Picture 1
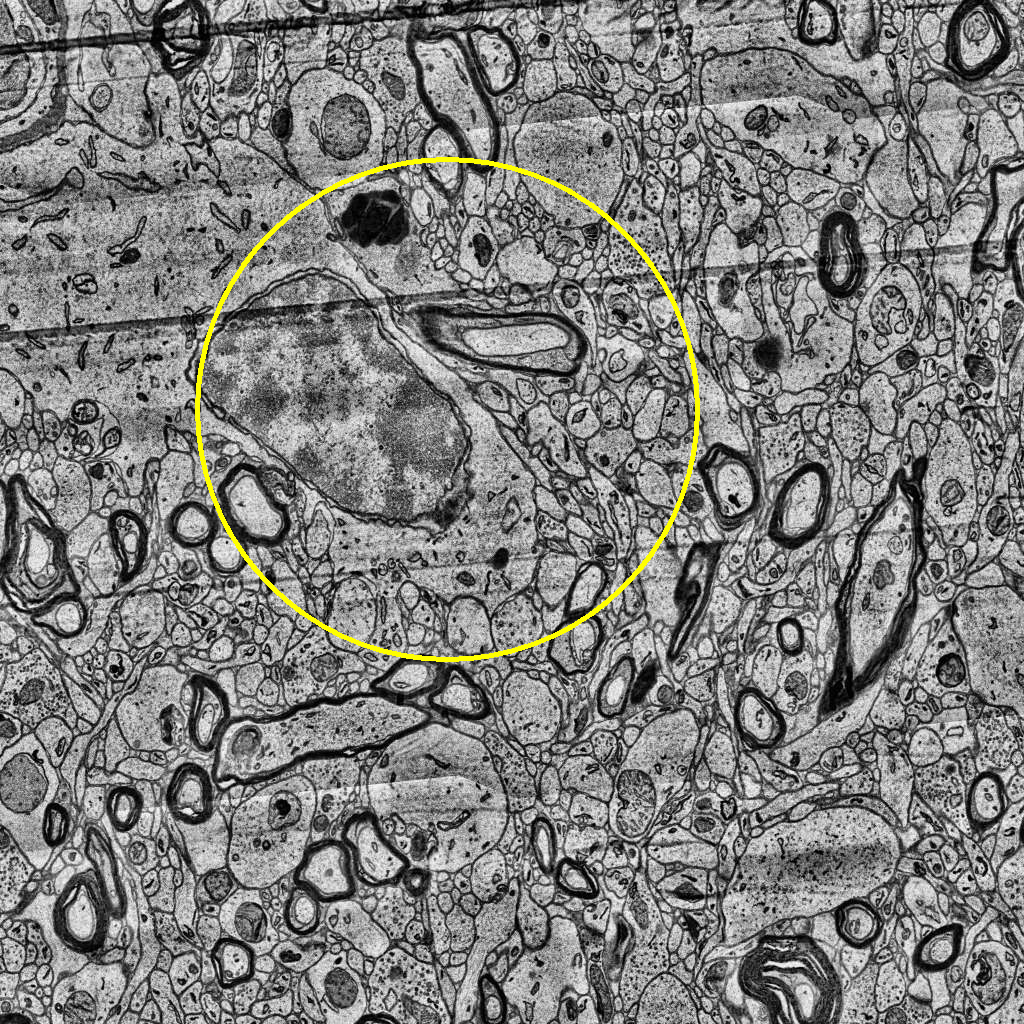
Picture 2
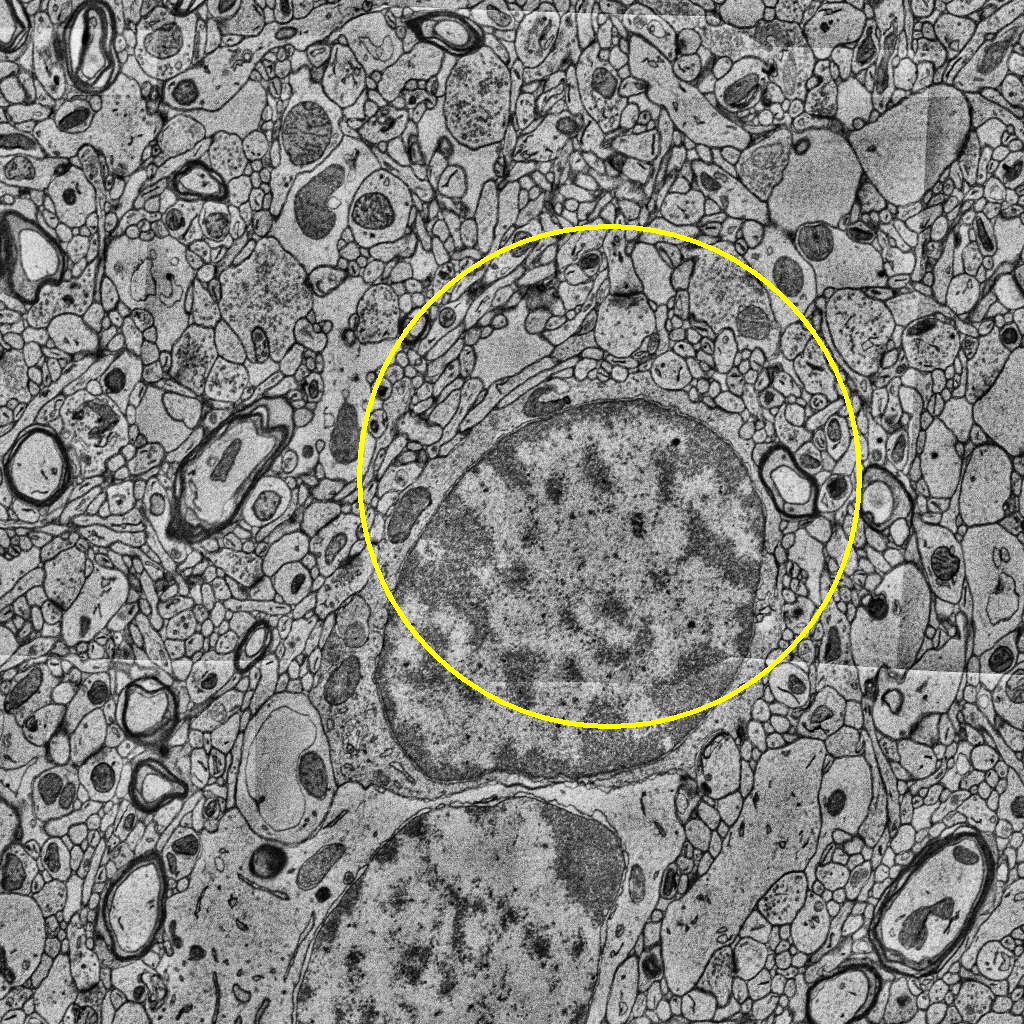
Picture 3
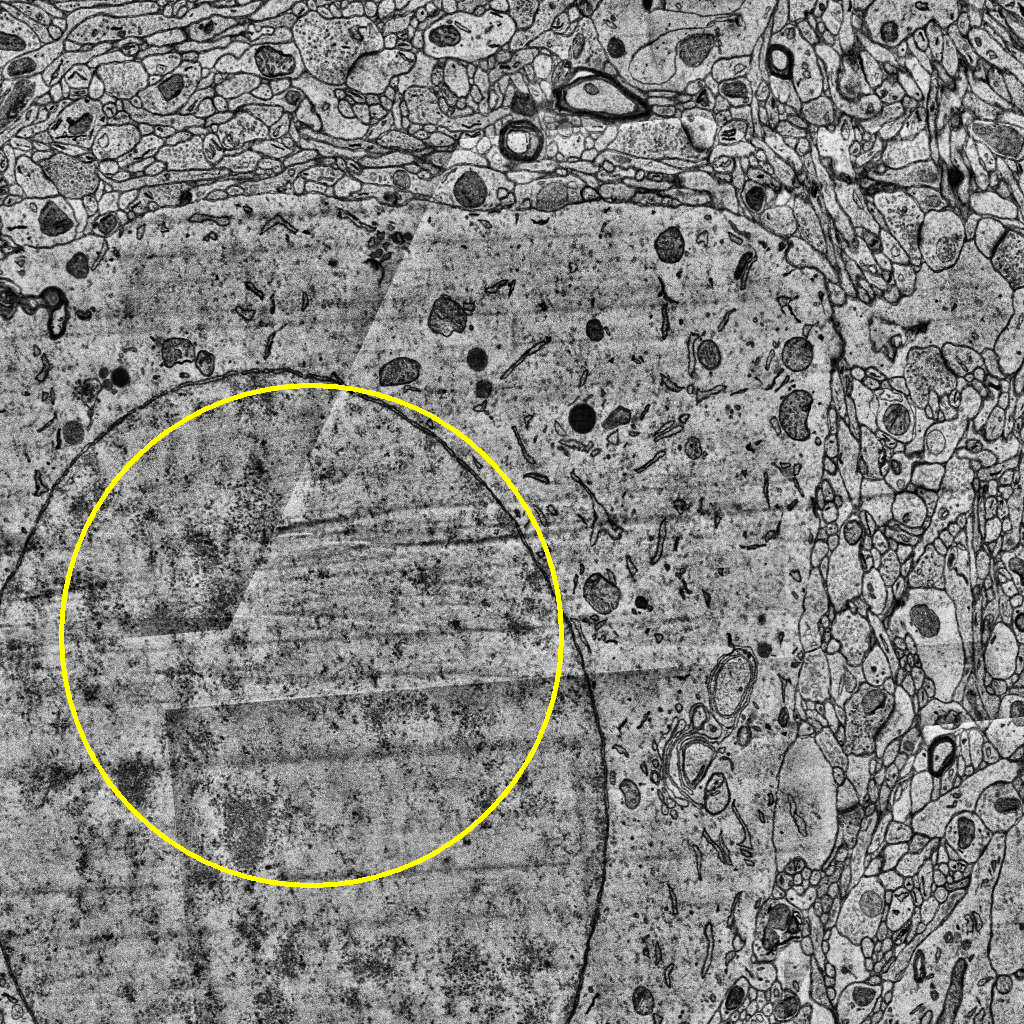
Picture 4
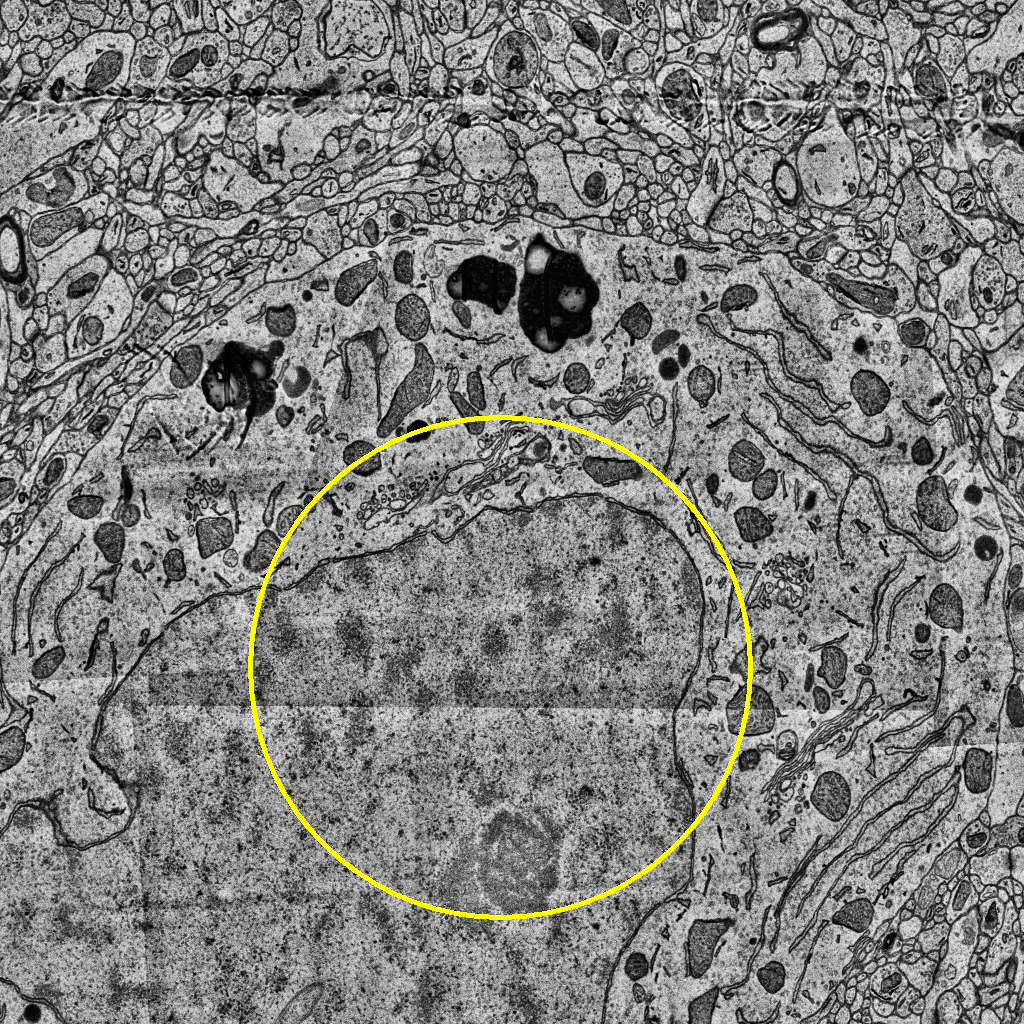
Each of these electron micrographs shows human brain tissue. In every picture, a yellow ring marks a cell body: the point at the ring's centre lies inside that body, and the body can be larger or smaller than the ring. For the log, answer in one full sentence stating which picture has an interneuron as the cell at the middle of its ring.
In picture 4, the centre of the yellow ring lies inside the requested cell.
